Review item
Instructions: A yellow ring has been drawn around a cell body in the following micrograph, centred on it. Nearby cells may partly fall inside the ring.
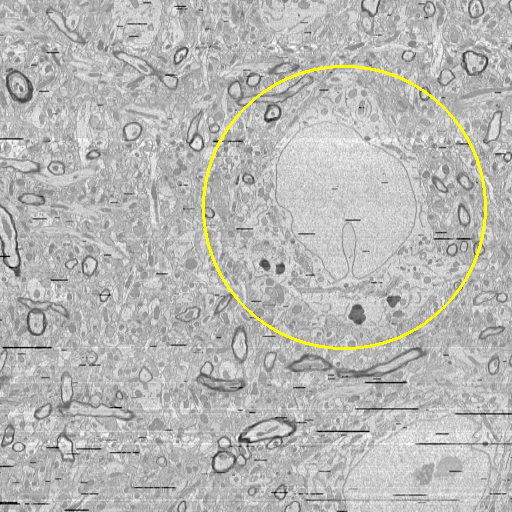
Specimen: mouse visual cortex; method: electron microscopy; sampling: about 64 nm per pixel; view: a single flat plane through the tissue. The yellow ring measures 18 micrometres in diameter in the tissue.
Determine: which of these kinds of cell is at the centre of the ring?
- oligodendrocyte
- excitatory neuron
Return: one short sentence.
The cell body in the middle of the ring is that of an excitatory neuron.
